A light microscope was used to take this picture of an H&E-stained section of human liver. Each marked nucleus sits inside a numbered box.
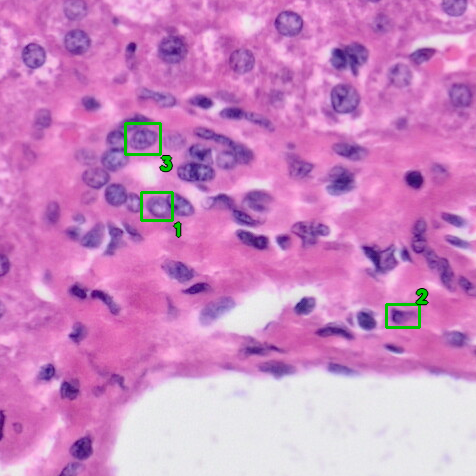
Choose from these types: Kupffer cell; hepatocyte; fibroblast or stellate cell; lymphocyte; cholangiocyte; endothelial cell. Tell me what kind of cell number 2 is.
fibroblast or stellate cell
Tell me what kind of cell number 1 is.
cholangiocyte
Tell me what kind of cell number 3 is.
cholangiocyte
